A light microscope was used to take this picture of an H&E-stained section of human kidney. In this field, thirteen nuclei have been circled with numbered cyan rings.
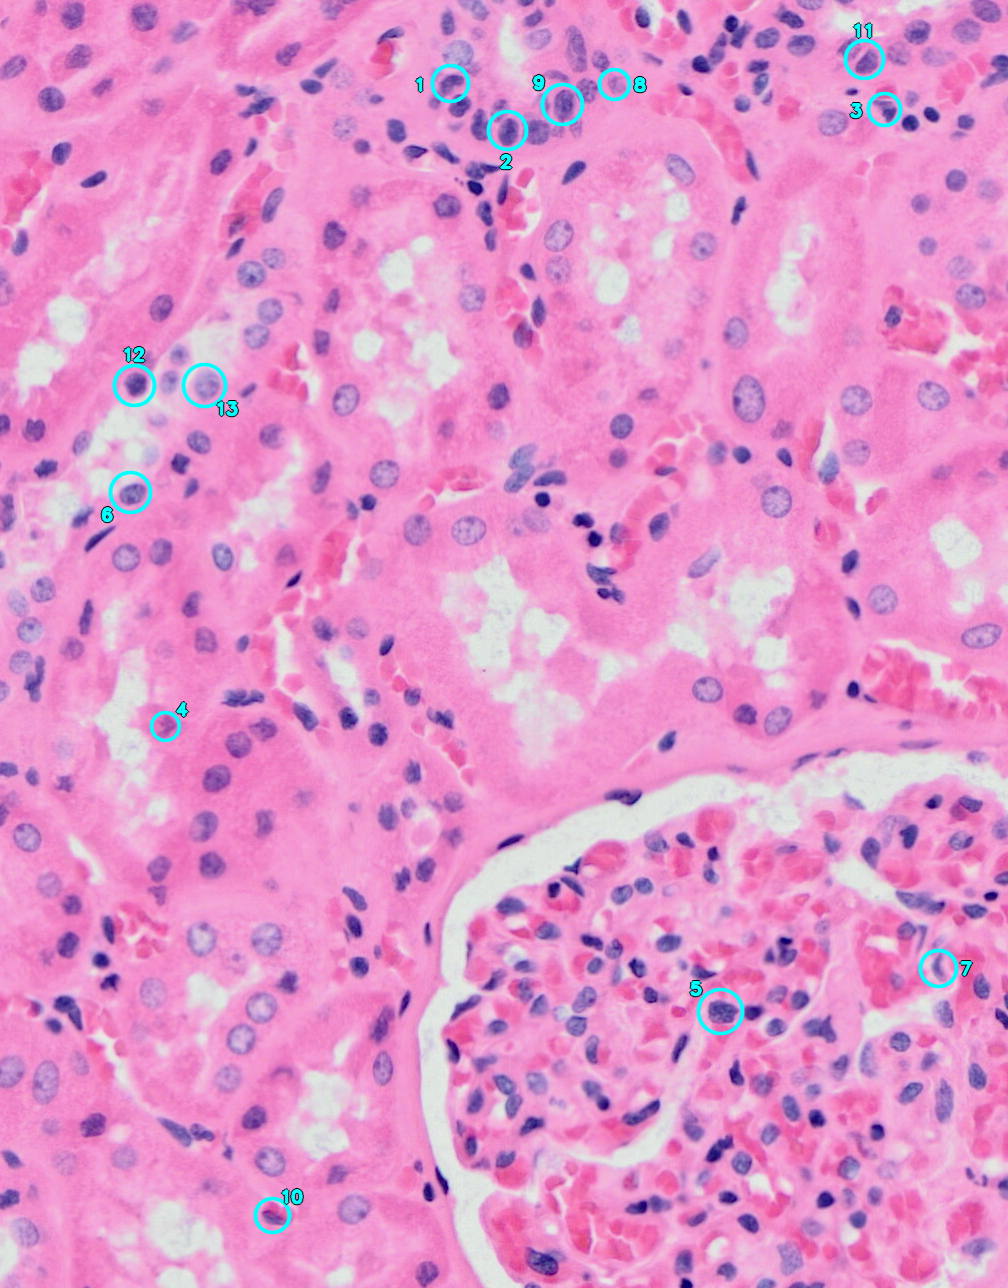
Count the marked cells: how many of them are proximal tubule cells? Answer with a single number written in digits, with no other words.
1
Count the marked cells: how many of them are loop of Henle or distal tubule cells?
3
